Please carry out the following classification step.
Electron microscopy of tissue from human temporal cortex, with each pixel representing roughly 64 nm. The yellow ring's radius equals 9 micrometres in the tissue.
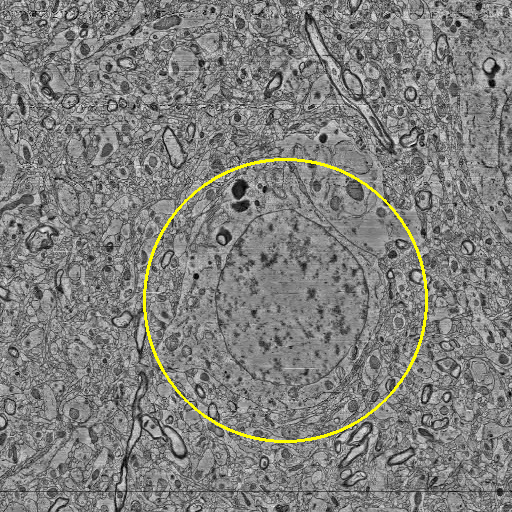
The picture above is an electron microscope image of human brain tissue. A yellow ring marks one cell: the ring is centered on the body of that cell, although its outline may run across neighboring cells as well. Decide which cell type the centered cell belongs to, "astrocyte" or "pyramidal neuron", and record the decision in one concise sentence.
The cell centered in the yellow ring is a pyramidal neuron.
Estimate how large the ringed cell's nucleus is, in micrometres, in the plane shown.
About 12 by 10 micrometers, in this plane.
